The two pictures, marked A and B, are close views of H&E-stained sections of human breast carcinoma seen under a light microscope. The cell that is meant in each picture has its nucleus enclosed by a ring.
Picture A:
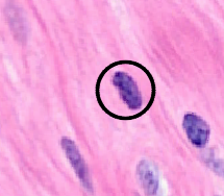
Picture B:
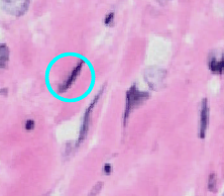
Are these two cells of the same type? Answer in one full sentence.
No, they differ: the cell is a lymphocyte in picture A and a fibroblast in picture B.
